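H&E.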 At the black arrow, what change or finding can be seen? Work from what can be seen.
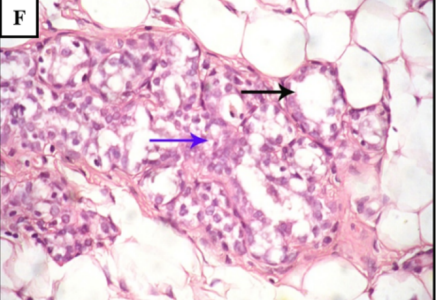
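Vacuolar degeneration of epithelium. The lining cells near the arrow have pale, clear cytoplasm. Clear vacuole-like spaces lie within the epithelium.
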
